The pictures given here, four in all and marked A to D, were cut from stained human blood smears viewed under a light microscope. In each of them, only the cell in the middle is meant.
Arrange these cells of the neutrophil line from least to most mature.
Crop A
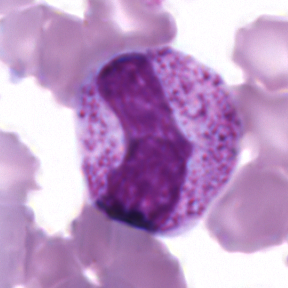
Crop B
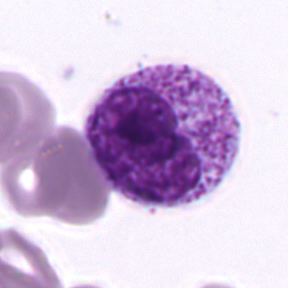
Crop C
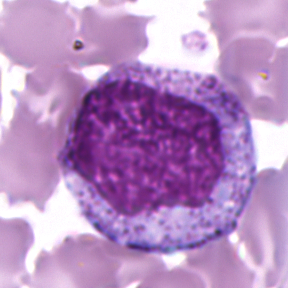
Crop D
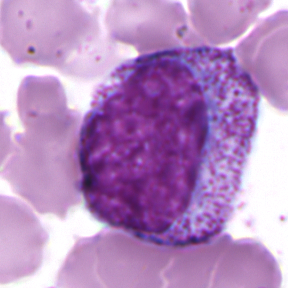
D, C, B, A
